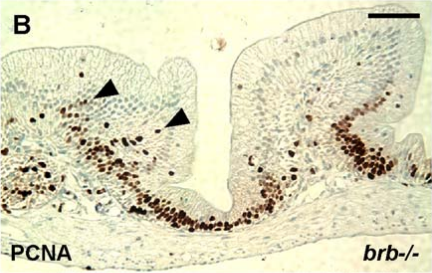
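Cross-section of intestinal villi with a simple columnar epithelium. Dense bands of dark brown nuclei fill the bases of the clefts between villi and extend up the villus sides, with further scattered brown nuclei in the middle of the epithelium higher on the folds. The villi are broad and folded, with a thin connective tissue core and a thin outer muscular wall. The upper tips of the villi remain largely unstained.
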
